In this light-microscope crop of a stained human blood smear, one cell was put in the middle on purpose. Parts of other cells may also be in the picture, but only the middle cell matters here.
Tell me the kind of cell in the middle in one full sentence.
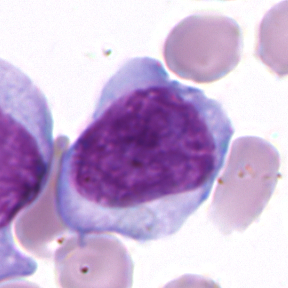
The cell in the middle of the field of view is a plasma cell.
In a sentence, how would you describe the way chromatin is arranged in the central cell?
The chromatin is fine, with no coarse clumping anywhere.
